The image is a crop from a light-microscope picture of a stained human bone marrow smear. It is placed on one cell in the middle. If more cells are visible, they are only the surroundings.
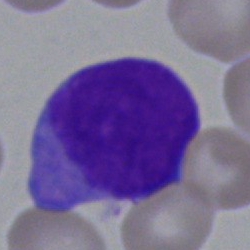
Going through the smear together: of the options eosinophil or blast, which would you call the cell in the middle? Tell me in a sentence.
The cell found in the middle of this crop is a blast.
